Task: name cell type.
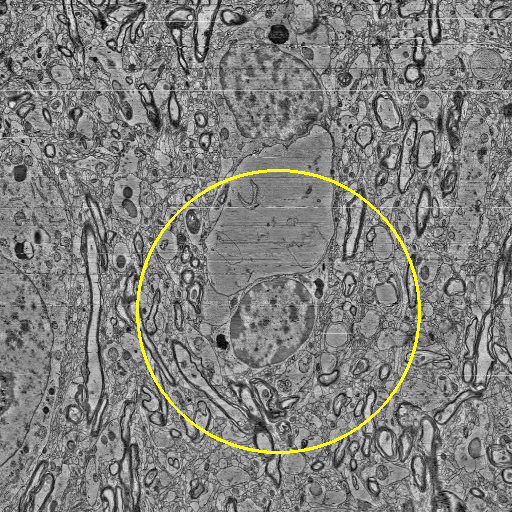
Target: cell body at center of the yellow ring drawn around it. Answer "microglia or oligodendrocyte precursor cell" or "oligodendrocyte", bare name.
microglia or oligodendrocyte precursor cell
